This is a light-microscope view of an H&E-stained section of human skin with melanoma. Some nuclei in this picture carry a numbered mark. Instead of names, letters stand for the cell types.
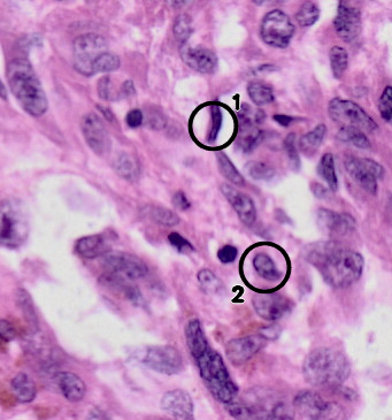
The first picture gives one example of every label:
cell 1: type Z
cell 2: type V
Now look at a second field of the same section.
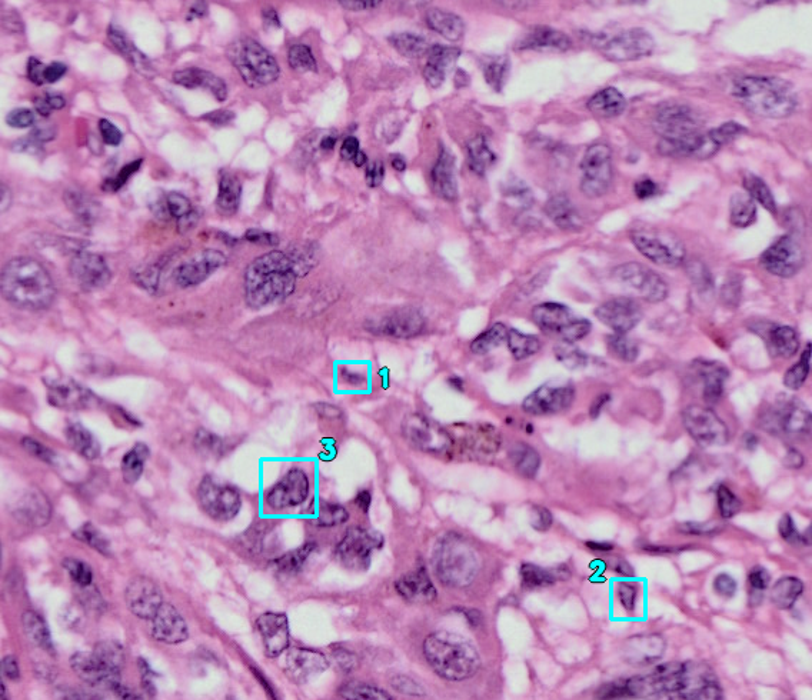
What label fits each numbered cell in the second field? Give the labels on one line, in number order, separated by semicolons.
type V; type V; type Z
